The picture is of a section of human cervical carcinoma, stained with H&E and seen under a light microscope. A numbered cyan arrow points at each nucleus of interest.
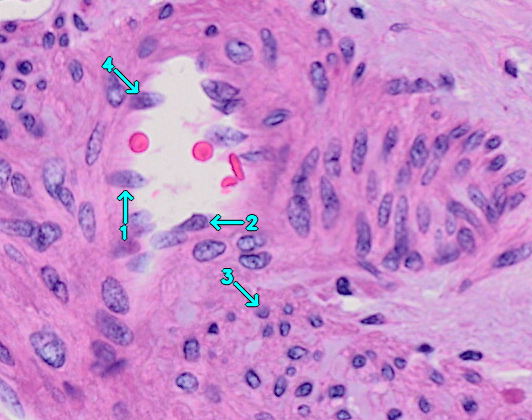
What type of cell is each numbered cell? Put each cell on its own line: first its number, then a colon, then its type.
1: endothelial cell
2: endothelial cell
3: smooth muscle cell
4: endothelial cell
